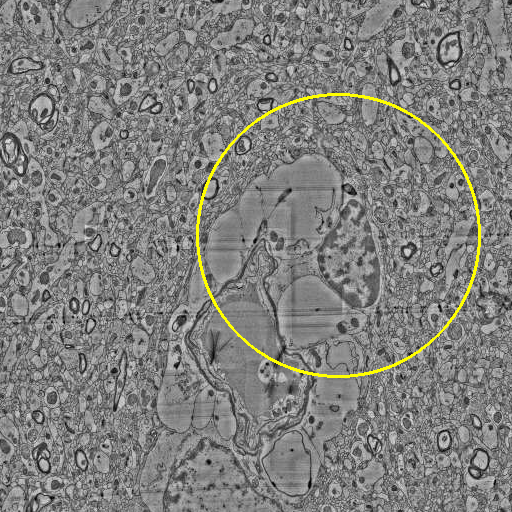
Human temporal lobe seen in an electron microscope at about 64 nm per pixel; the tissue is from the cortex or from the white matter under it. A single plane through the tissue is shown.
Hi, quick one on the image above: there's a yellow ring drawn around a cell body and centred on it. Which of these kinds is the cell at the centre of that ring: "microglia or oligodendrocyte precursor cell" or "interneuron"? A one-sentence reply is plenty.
The cell at the centre of the ring is a microglial cell or oligodendrocyte precursor cell.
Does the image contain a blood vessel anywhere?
Yes, a blood vessel shows in the picture.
